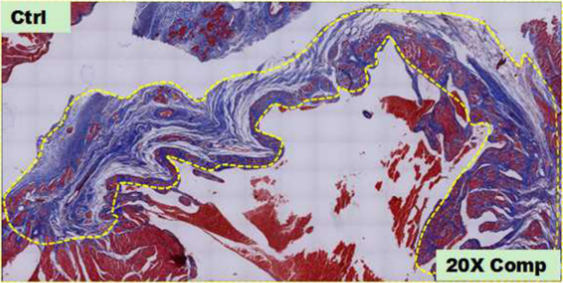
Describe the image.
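A long band of heart wall is stained largely blue with streaky, layered fibres, while the tissue at either end and below is bright red muscle. Within the blue band lie scattered small red islands of muscle bundles. The band is thin and folded, bordering a wide empty space. This is a blue fibrous scar making up a large, thinned infarct area of the heart muscle.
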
